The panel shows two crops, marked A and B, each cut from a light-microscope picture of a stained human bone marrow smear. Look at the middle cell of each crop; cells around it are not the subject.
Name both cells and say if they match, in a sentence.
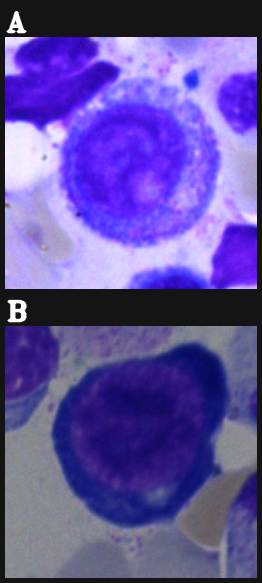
No, the correct reading is a promyelocyte in crop A and a proerythroblast in crop B.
